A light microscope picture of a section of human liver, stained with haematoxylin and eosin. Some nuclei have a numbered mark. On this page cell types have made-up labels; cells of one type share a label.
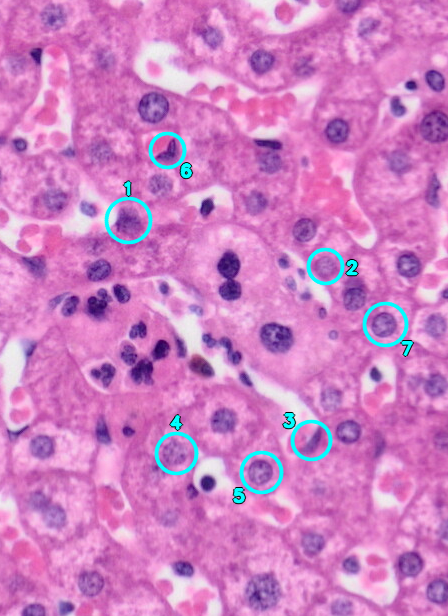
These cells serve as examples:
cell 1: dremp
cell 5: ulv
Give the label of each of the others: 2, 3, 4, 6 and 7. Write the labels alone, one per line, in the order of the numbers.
ulv
dremp
ulv
dremp
ulv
